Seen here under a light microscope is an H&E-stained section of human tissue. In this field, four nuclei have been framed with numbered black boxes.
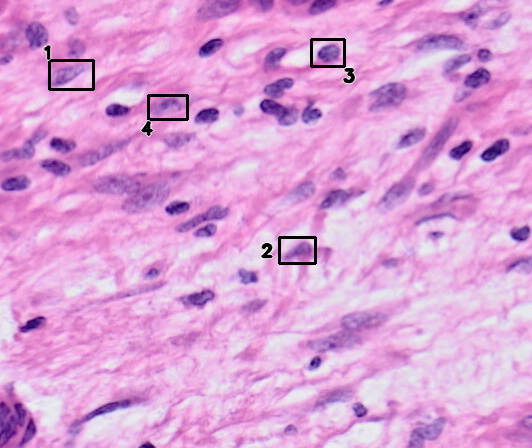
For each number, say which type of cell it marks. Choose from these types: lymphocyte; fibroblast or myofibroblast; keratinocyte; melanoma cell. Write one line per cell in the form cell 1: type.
cell 1: fibroblast or myofibroblast
cell 2: fibroblast or myofibroblast
cell 3: lymphocyte
cell 4: fibroblast or myofibroblast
